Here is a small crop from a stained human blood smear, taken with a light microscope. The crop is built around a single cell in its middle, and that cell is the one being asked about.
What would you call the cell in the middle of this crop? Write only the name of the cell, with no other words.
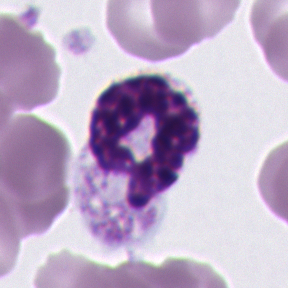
neutrophil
